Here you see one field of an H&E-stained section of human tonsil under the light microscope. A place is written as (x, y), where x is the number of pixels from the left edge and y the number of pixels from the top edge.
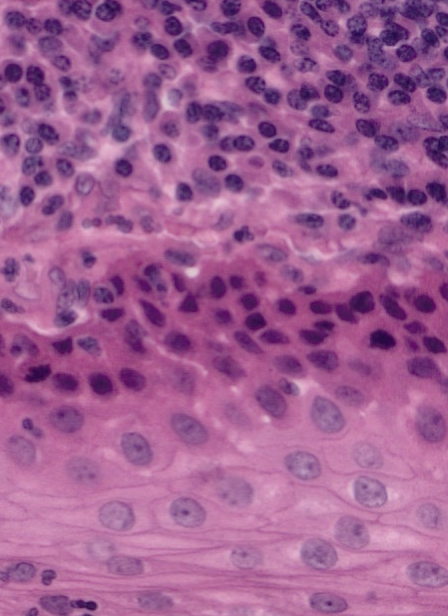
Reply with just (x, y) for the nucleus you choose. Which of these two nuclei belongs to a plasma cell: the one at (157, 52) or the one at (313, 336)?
(157, 52)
